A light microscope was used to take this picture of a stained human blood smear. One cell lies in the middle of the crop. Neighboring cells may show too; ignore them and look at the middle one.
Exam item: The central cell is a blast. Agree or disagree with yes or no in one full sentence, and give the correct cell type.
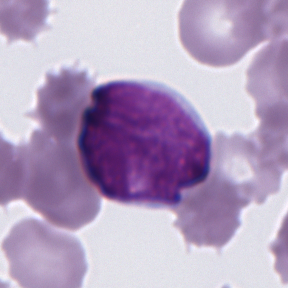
Yes, the cell of interest in the middle is a blast.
